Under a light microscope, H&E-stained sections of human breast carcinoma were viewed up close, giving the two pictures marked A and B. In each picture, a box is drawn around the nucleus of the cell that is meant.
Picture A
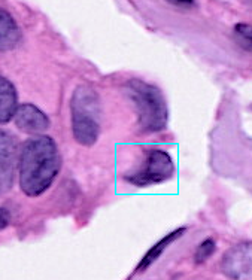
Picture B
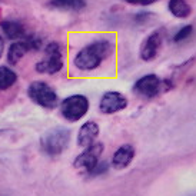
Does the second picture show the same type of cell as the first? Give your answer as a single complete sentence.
No. Picture A shows a carcinoma cell, but picture B shows a mast cell.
